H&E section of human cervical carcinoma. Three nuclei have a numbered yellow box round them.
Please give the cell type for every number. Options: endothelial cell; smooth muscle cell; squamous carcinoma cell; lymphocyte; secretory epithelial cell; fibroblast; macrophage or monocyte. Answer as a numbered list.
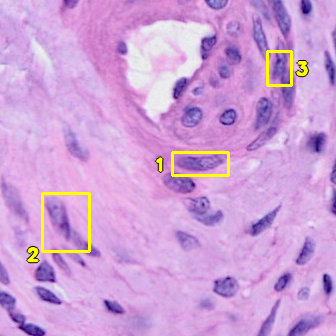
1. smooth muscle cell
2. fibroblast
3. smooth muscle cell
